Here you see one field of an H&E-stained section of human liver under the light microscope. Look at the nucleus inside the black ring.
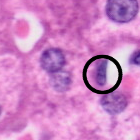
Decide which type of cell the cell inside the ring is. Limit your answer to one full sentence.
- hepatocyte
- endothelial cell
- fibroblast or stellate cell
In this preparation, the cell inside the ring is an endothelial cell.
